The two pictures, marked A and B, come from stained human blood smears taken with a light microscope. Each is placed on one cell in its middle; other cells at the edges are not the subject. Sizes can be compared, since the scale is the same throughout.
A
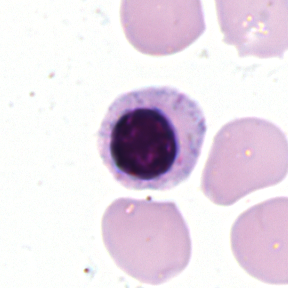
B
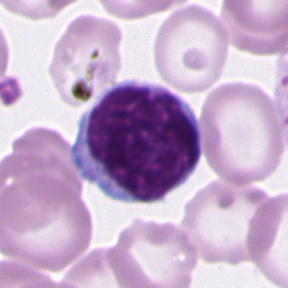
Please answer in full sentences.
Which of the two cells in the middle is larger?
It is the cell in picture B, about 1.5 times as large in area as the cell in picture A.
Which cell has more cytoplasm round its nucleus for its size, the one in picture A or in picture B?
It is the cell in picture A that is filled less by its nucleus.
